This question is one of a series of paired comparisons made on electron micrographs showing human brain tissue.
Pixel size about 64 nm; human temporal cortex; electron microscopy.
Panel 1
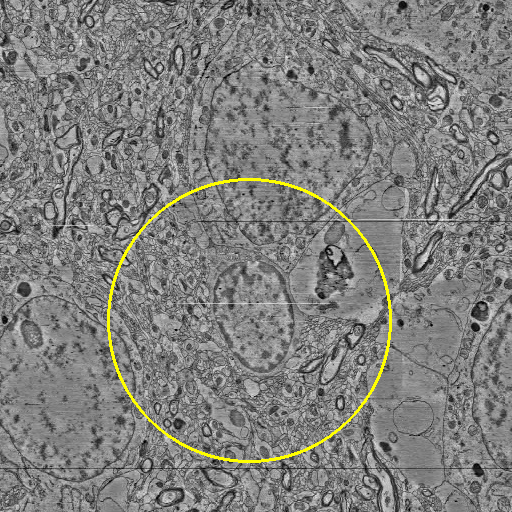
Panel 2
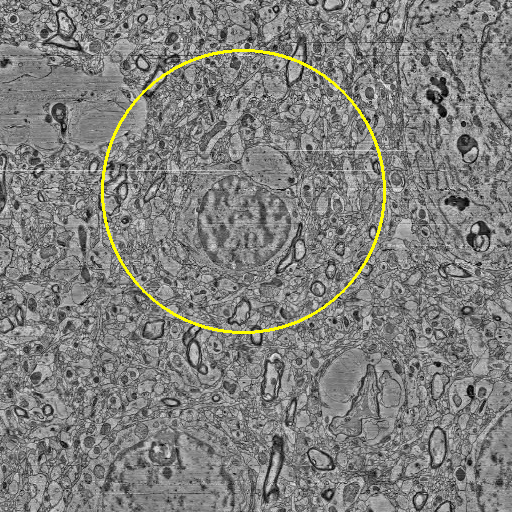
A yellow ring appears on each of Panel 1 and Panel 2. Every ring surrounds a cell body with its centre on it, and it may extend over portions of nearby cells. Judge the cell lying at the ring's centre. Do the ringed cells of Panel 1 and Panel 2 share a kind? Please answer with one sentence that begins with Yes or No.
Yes, the ring-centre cell in Panel 1 and the one in Panel 2 are of one kind.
